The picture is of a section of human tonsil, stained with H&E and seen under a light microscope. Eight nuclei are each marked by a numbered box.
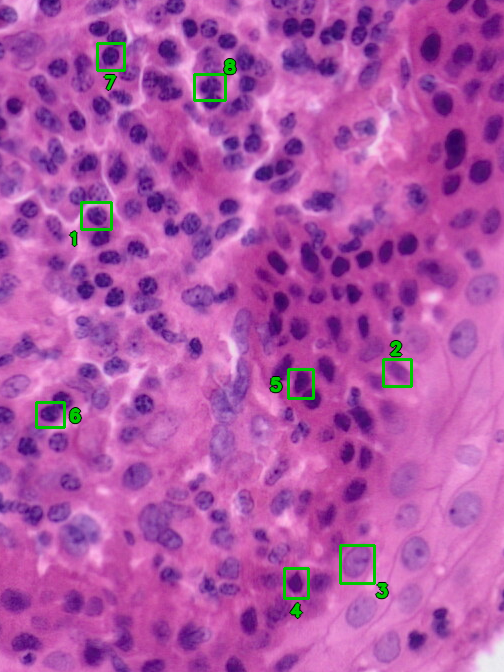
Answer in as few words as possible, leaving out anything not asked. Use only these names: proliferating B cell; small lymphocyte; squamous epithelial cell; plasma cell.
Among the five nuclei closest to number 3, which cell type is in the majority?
squamous epithelial cell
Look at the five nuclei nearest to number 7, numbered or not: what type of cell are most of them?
plasma cell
